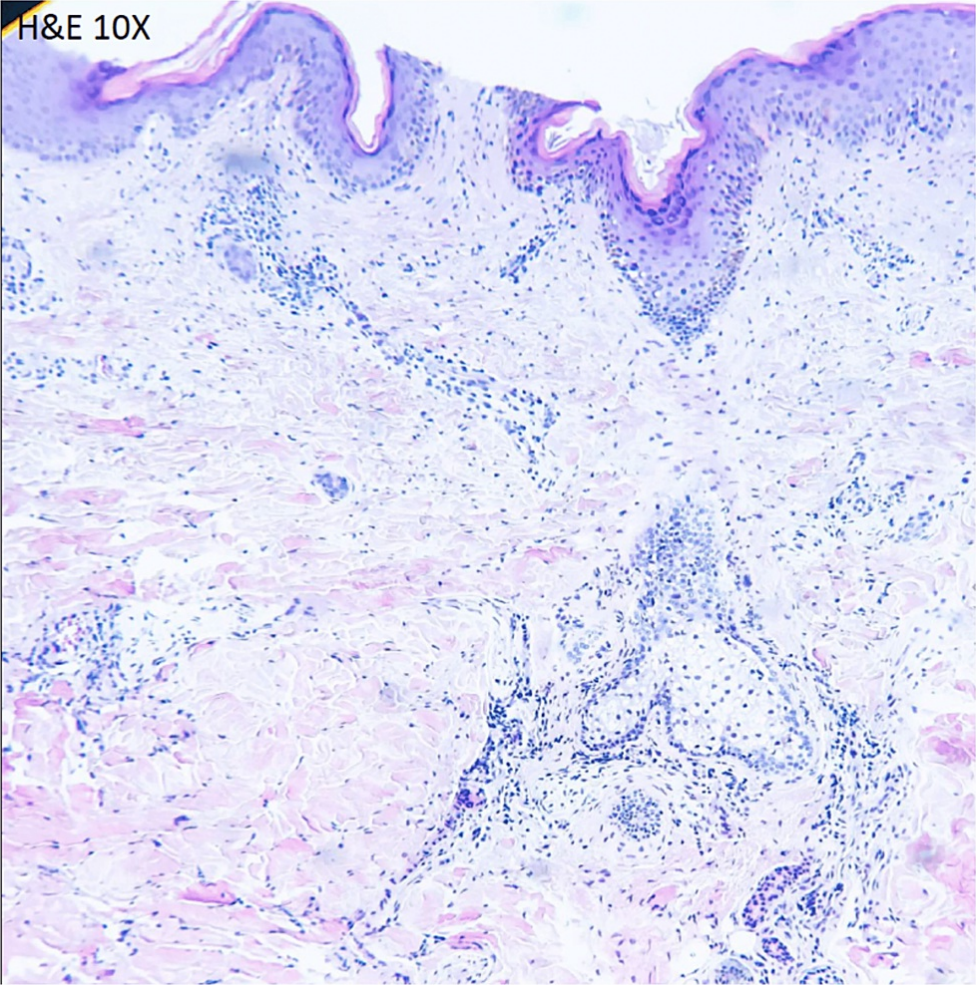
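This section of skin shows a stratified squamous epidermis over a fibrous dermis, with clusters of lymphocytes scattered through the dermis. The epidermis has an undulating surface covered by a thin, wavy pink keratin layer, and its cells have purple-staining cytoplasm with small nuclei. In the superficial dermis, small dark round nuclei gather in bands and clusters around small vessels rather than spreading evenly through the tissue. The dermal collagen appears as pale pink bundles separated by wide, pale, faintly bluish-grey spaces, giving the dermis a loose look. Deeper in the field, a rounded adnexal epithelial structure is also surrounded by lymphocytes.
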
